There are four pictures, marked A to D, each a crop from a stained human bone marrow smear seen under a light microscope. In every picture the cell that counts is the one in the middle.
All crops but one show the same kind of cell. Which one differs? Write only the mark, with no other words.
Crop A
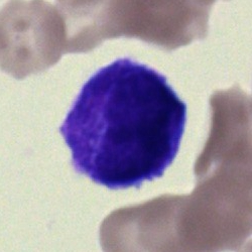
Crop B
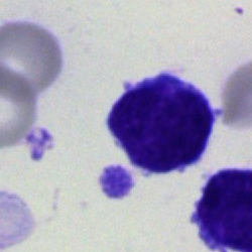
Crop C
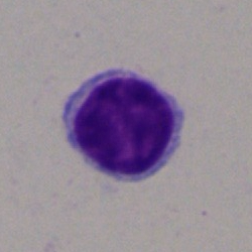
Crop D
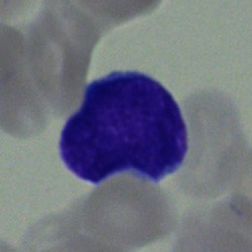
C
